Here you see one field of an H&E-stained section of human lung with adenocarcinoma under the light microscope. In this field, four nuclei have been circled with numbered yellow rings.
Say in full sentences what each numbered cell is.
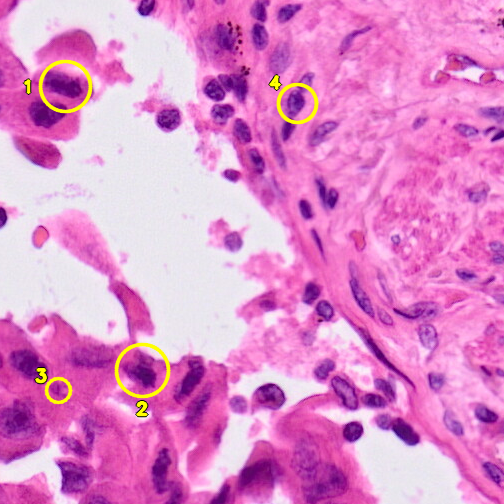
Cells 1, 2 and 3 are carcinoma cells. Cell 4 is a lymphocyte.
